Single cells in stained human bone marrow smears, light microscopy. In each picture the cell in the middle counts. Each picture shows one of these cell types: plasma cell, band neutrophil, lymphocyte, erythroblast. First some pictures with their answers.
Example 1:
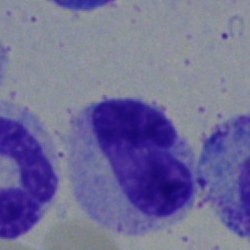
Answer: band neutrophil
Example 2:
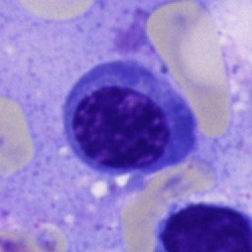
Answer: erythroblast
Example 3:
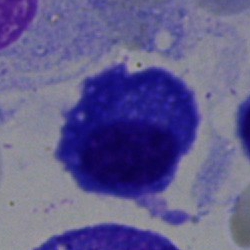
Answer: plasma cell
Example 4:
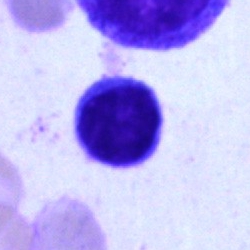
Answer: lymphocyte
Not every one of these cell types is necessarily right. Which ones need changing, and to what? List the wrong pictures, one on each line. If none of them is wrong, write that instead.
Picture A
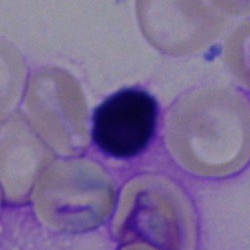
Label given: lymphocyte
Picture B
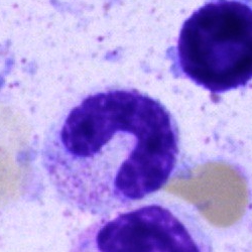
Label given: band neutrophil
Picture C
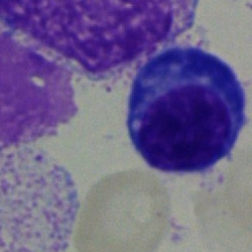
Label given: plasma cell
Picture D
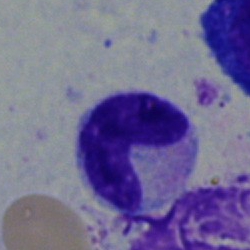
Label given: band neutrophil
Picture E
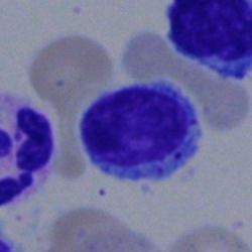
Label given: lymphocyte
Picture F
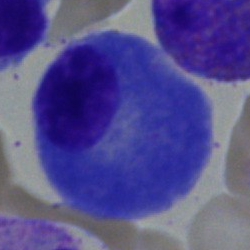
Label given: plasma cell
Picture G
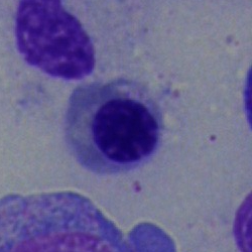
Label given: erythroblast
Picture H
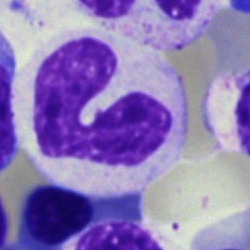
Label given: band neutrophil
Every label is right.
